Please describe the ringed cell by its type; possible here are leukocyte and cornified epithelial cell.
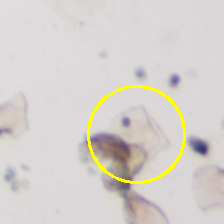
The yellow ring marks a cornified epithelial cell.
